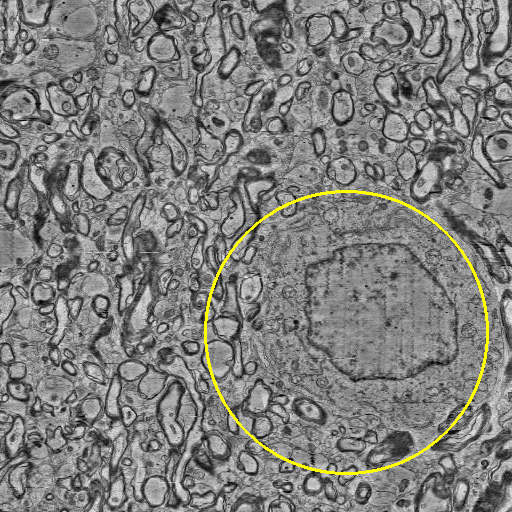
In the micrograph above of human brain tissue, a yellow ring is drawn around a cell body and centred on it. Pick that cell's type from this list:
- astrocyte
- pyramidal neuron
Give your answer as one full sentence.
Going by the list, a pyramidal neuron is the cell on which the yellow ring is centred.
